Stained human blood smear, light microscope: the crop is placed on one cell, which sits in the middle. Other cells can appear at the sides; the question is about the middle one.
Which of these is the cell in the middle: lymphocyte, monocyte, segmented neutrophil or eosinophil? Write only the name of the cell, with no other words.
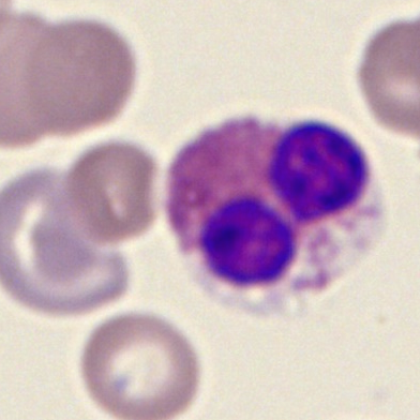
eosinophil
